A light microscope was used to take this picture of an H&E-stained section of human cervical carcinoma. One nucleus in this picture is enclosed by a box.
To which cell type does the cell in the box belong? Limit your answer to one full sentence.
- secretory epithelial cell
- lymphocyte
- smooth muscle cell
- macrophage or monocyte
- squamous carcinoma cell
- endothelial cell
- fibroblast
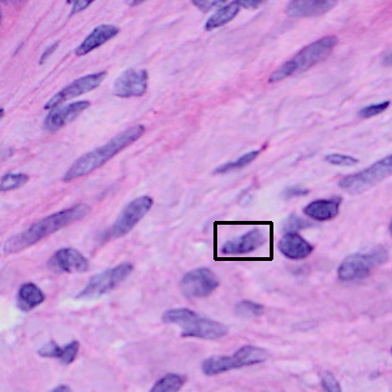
Microscopically, the cell in the box is categorized as a fibroblast.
